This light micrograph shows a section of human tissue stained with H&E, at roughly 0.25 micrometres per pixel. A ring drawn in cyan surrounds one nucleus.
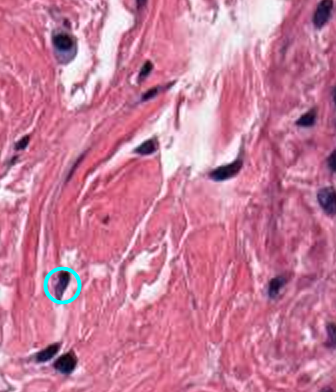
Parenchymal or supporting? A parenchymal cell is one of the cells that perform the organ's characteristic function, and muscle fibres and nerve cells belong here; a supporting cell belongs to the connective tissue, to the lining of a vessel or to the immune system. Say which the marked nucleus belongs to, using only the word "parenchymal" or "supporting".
supporting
